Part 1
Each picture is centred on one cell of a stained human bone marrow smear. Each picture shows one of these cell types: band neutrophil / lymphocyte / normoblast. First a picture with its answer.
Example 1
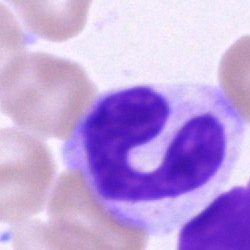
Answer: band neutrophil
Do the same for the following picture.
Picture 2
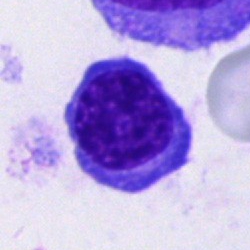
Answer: normoblast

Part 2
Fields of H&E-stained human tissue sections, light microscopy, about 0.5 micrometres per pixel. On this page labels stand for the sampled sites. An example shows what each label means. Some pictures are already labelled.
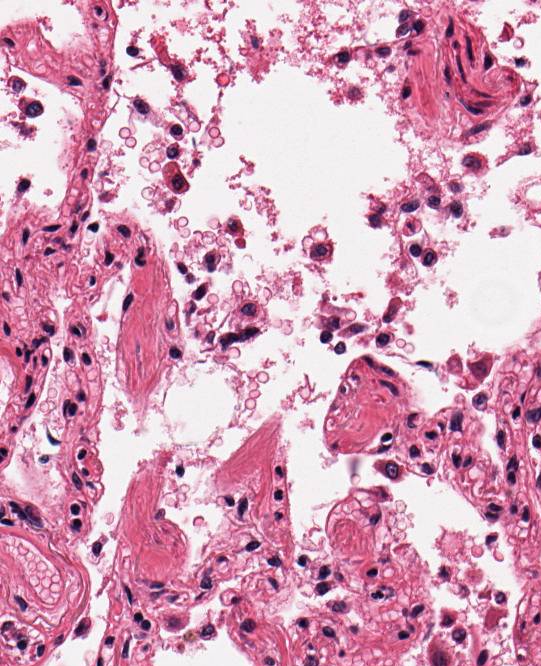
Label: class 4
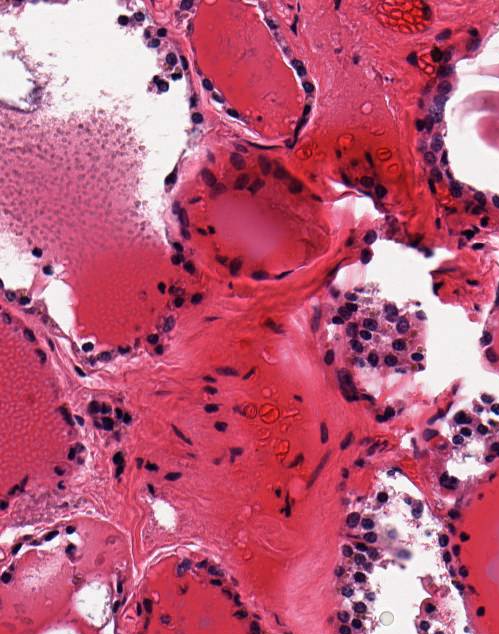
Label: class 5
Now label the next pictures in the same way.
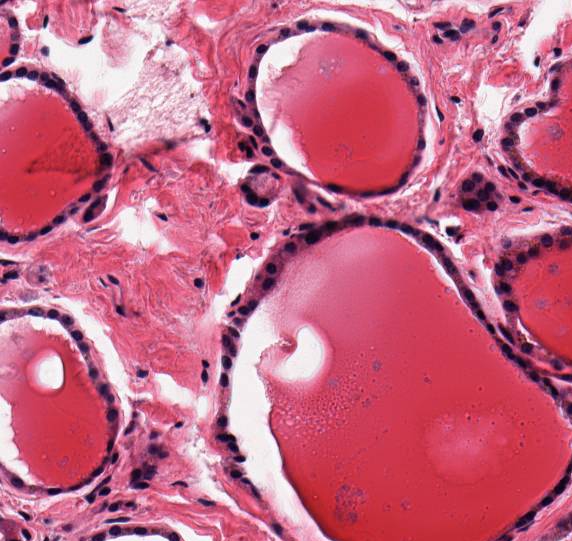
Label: class 5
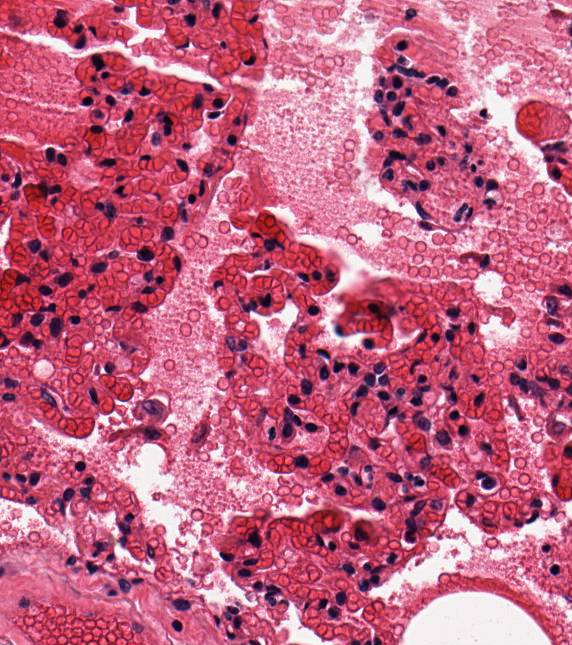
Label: class 4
